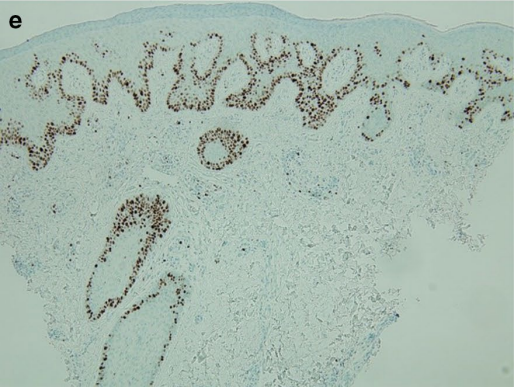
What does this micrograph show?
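Skin with a thickened epidermis whose elongated rete ridges are outlined by a dense band of brown-stained nuclei in the basal and lower layers of keratinocytes, while the upper layers are unstained and pale blue. The outer layers of a hair follicle in the dermis also carry many brown nuclei, whereas the dermis itself has almost none.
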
